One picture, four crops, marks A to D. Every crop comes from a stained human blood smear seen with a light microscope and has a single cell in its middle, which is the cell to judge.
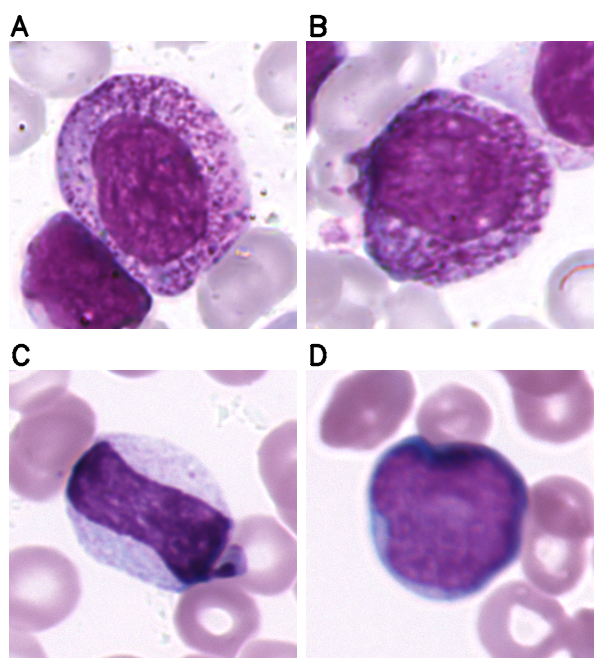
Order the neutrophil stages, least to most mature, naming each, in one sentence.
Along the maturation line, from least to most mature, sit crop D (a myeloblast), crop B (a promyelocyte), crop A (a myelocyte) and crop C (a band neutrophil).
